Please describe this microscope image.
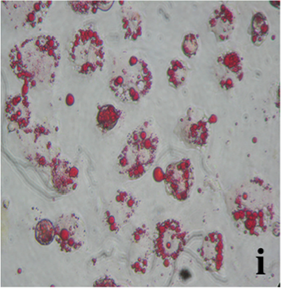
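Cultured adipocytes, rounded cells scattered across the dish, each filled with red-stained lipid droplets. The droplets vary in size, from fine granules to large round drops, some of which appear to have merged. In many cells the droplets crowd around the edge, giving a ring-like appearance. Between the cells the background is pale and unstained, with a few faint thread-like strands. Nuclei are not clearly seen beneath the lipid.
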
